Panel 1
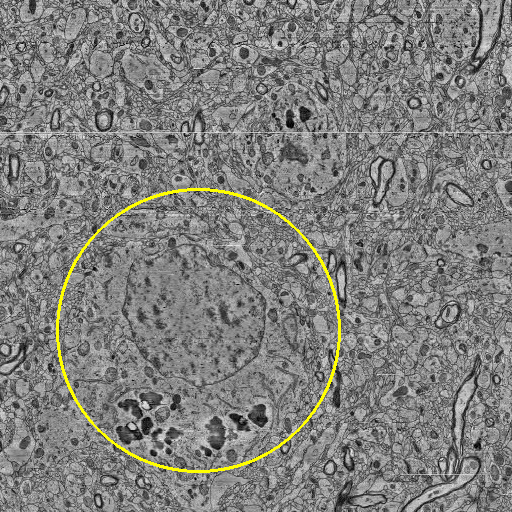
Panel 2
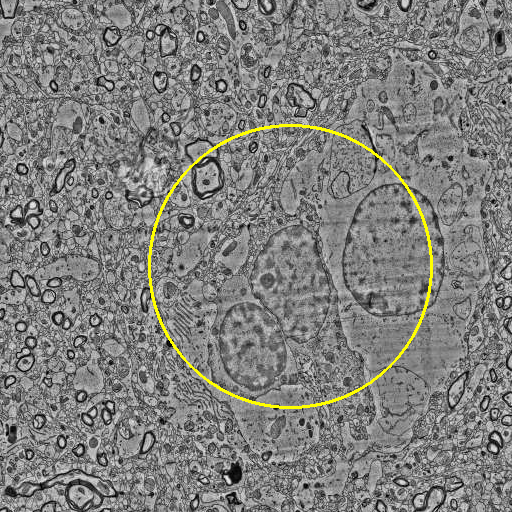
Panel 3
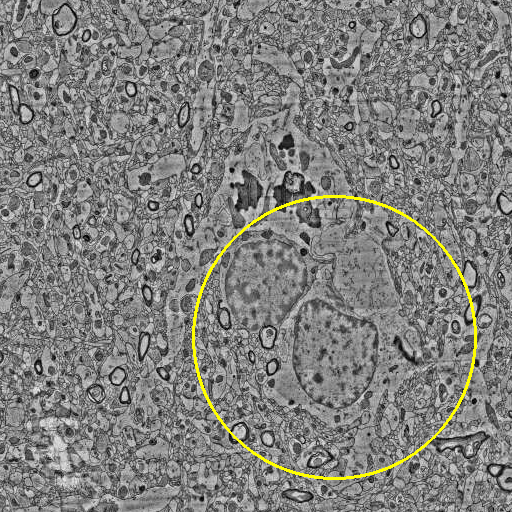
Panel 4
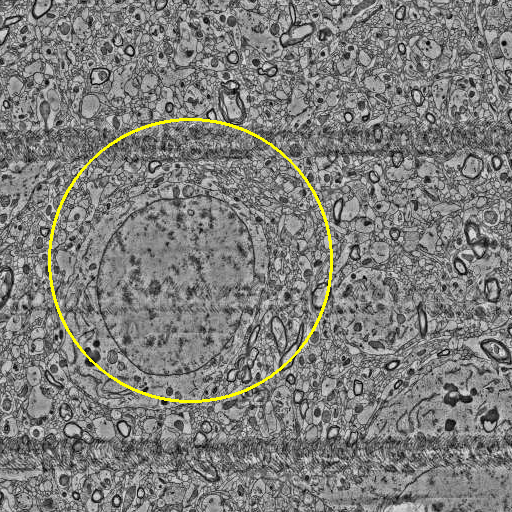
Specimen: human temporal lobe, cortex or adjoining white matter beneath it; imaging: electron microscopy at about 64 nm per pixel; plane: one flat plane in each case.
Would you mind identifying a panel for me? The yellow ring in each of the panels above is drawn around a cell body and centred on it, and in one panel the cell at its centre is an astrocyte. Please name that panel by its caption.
Panel 3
